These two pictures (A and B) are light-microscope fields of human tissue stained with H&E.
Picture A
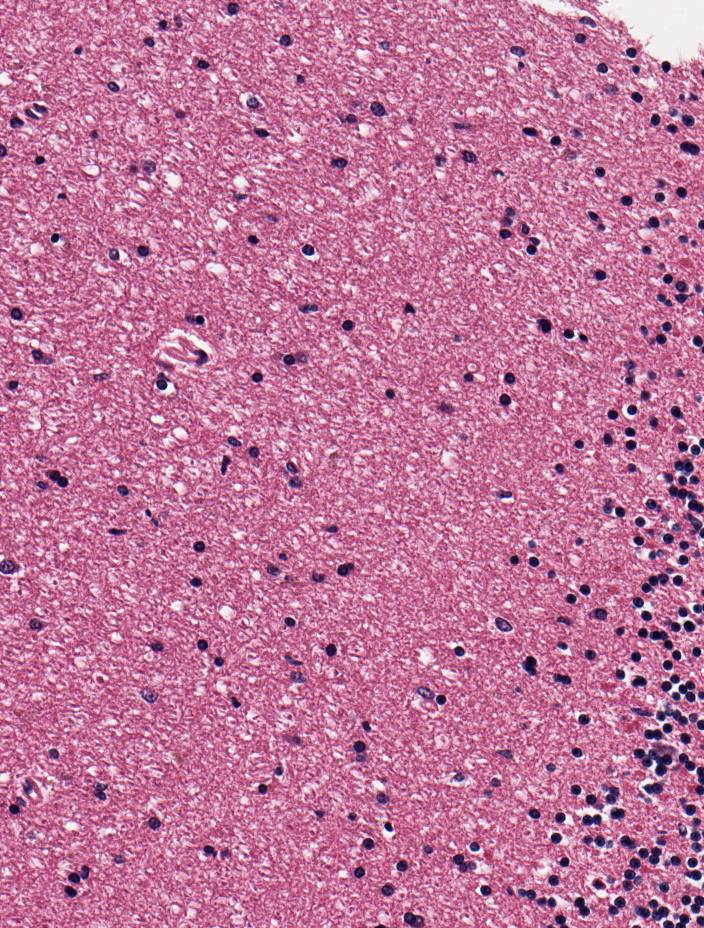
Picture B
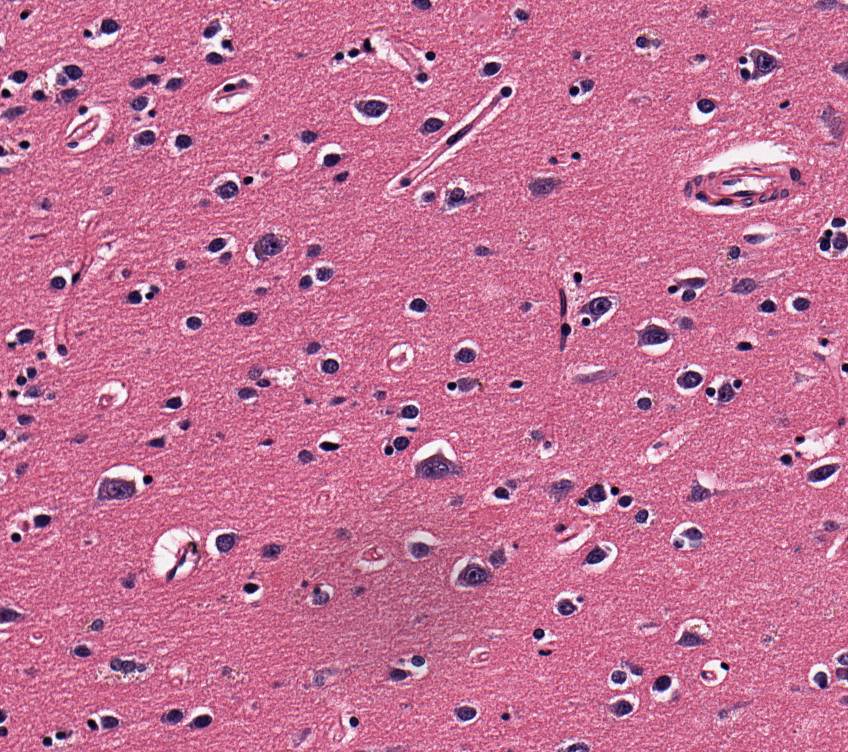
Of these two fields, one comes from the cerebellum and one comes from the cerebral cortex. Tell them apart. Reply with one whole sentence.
Picture A comes from the cerebellum; picture B comes from the cerebral cortex.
